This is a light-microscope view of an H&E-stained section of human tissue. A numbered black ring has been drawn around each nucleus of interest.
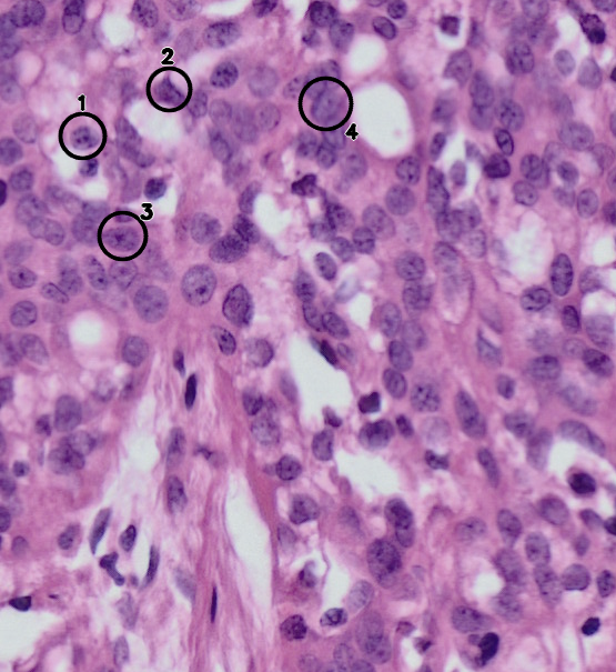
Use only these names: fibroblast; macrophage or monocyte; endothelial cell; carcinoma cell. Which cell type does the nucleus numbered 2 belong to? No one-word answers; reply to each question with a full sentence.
It is as a carcinoma cell that the cell numbered 2 is identified.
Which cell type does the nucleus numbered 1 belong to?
Within this field of view, the cell labelled 1 is a macrophage or monocyte.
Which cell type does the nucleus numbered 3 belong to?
Cell 3 of the marked set is a carcinoma cell.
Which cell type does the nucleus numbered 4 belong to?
Cell 4 in the field of view is a carcinoma cell.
